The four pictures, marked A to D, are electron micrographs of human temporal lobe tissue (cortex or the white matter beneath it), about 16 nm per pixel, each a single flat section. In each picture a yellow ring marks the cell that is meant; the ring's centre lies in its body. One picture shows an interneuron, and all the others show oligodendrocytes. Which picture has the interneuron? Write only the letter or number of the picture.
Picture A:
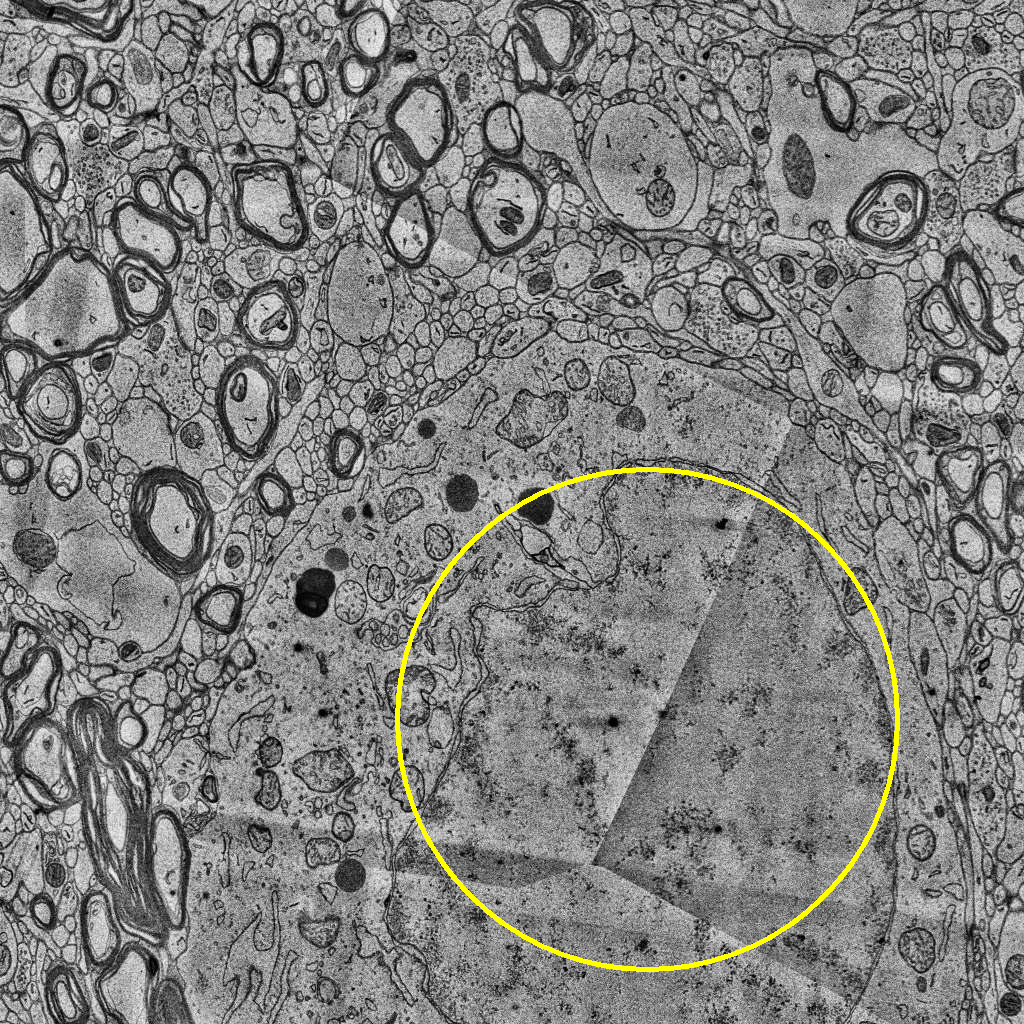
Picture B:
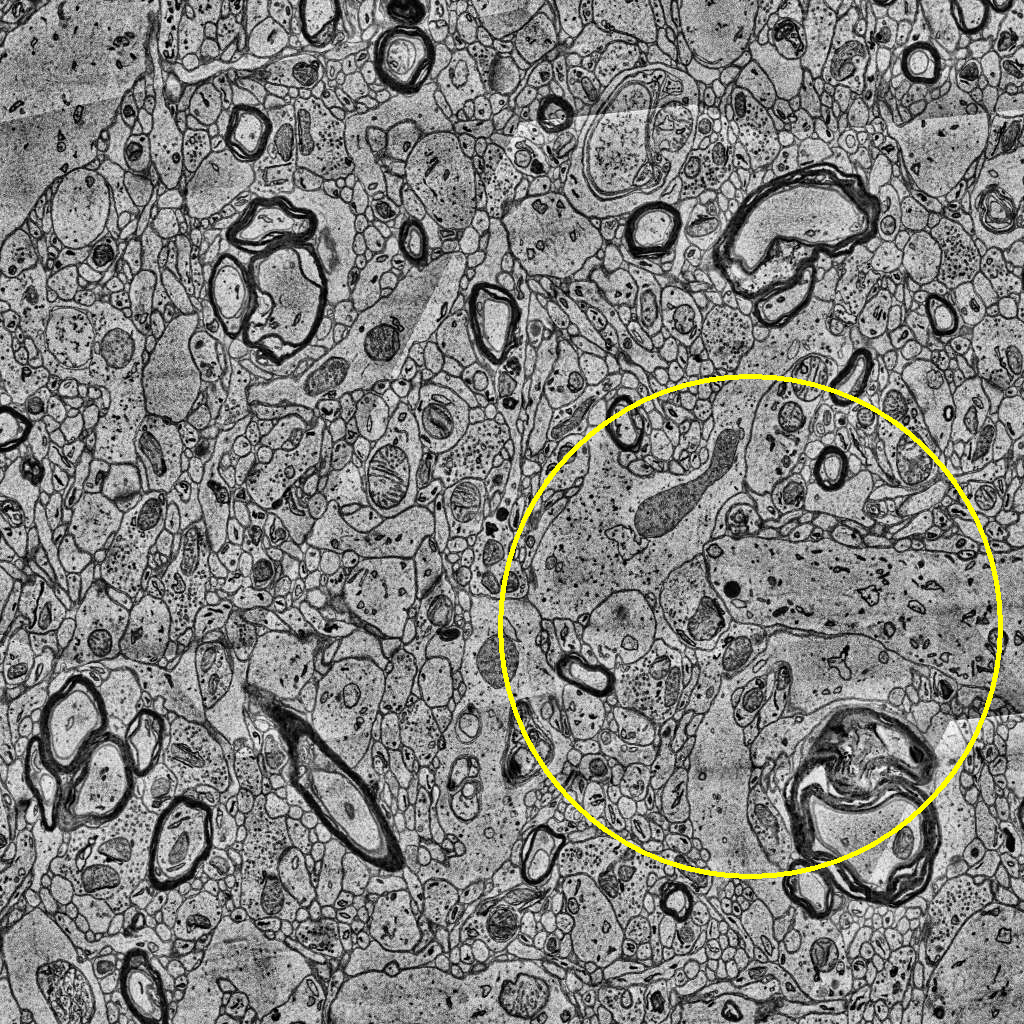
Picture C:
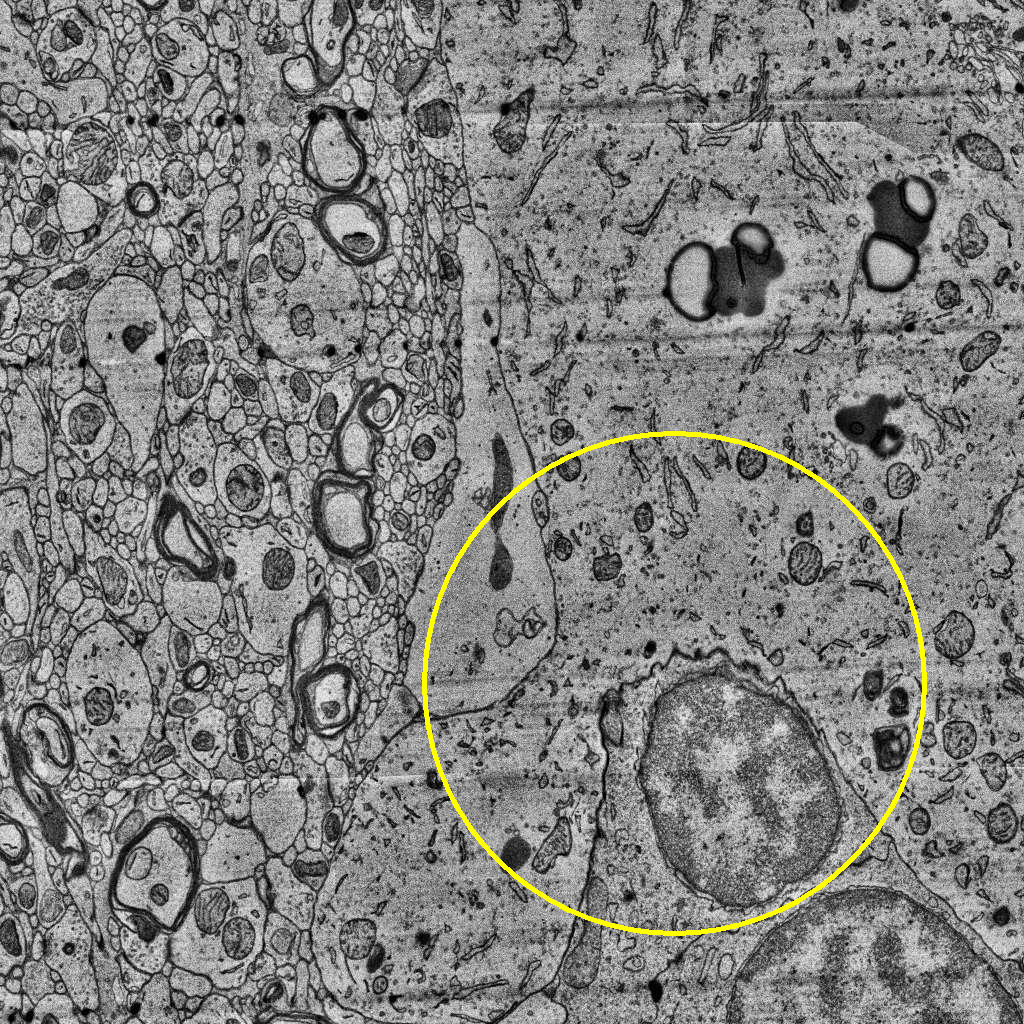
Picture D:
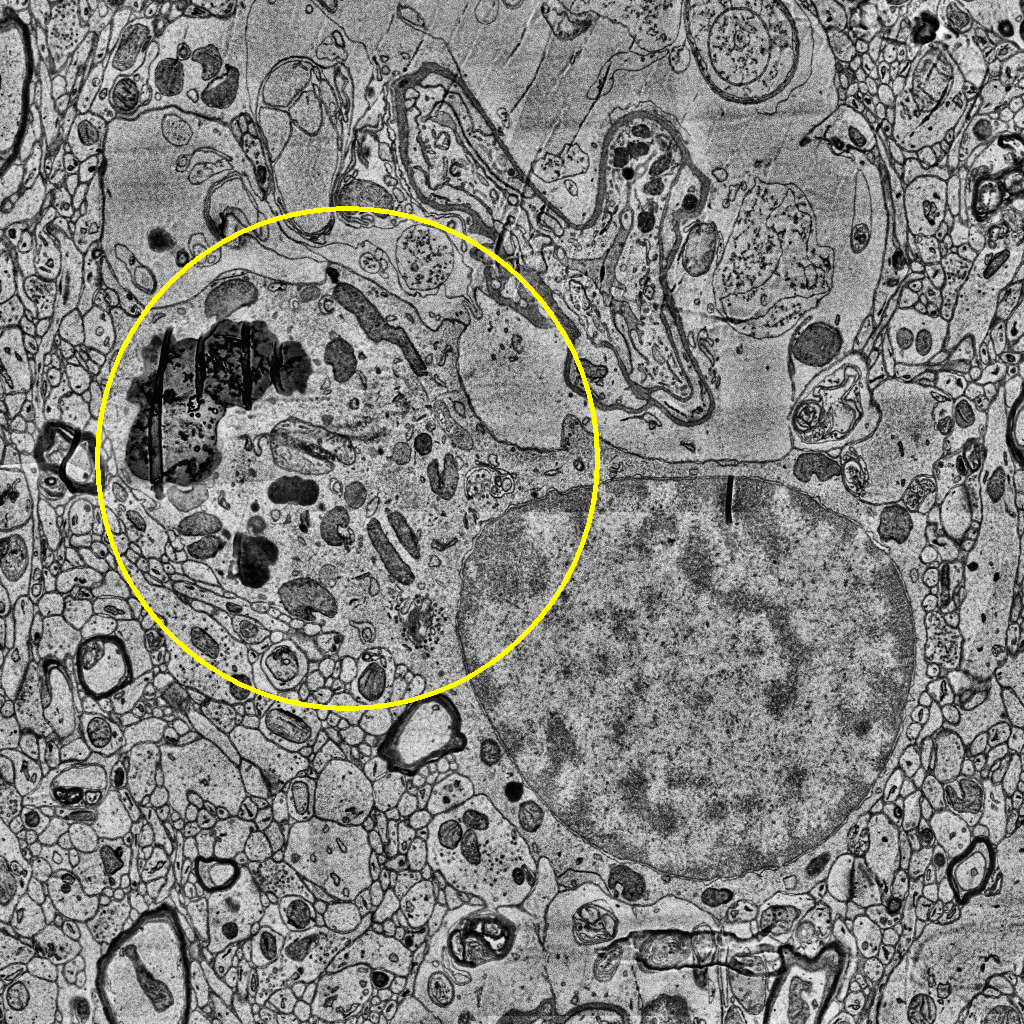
A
